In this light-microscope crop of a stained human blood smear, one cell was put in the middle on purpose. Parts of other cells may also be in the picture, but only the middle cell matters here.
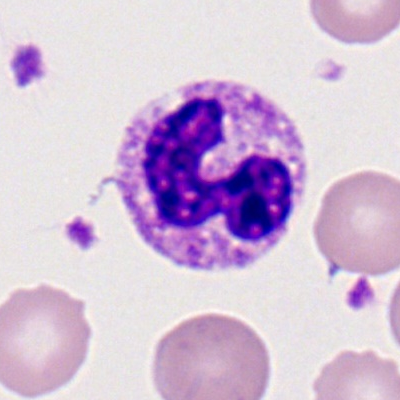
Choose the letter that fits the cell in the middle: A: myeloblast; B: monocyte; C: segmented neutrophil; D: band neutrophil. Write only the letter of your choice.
C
